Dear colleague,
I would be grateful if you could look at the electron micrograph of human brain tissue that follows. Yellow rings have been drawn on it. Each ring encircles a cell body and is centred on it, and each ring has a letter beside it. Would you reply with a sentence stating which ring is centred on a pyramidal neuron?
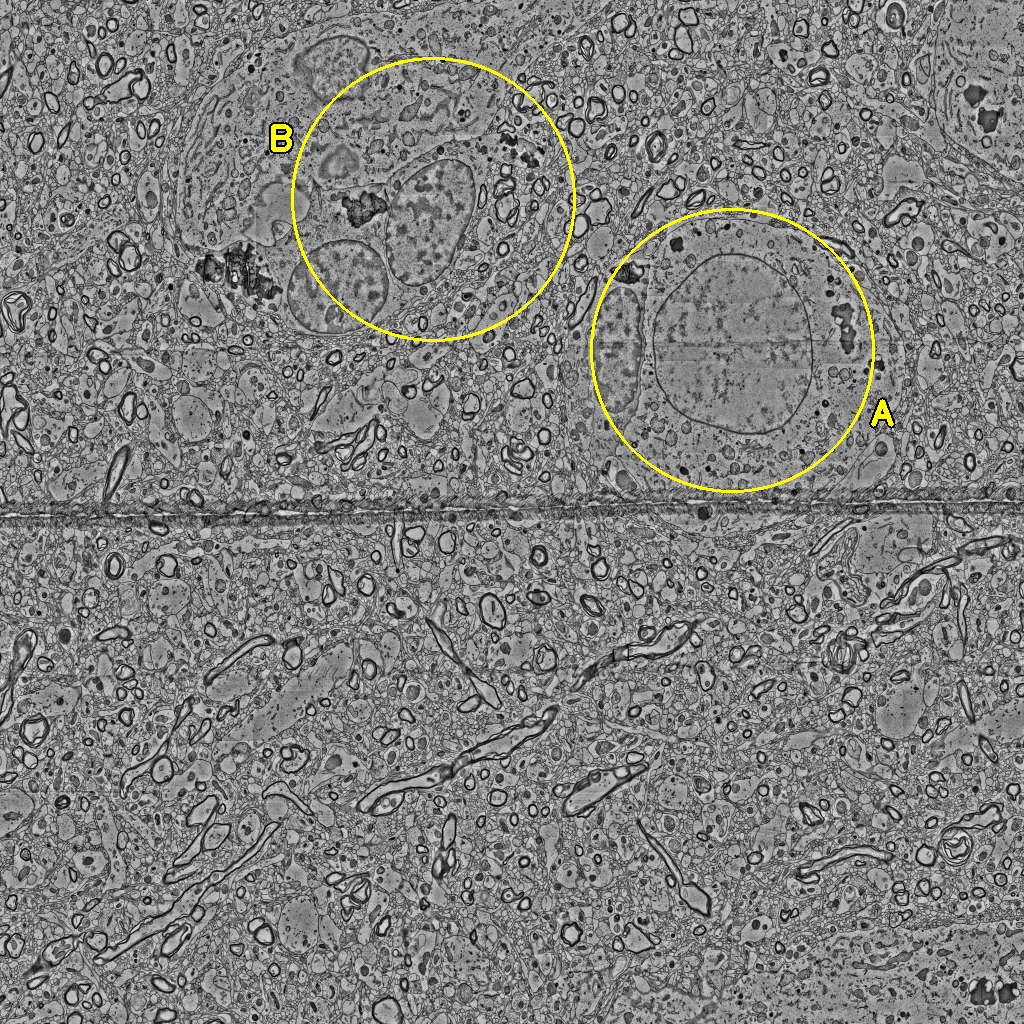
The ring centred on it is ring A.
